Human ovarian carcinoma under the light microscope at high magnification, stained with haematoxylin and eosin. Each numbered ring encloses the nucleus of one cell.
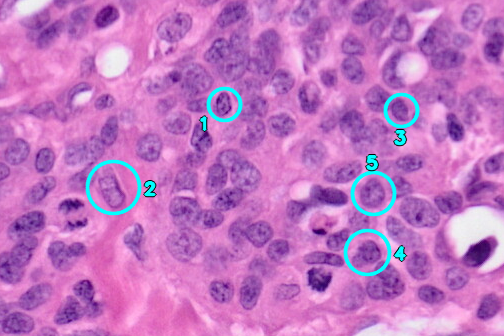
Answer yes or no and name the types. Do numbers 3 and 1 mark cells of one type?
No, listen: cell 3 is a carcinoma cell and cell 1 is a macrophage or monocyte.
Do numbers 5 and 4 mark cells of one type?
Yes, cells 5 and 4 are alike in being carcinoma cells.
